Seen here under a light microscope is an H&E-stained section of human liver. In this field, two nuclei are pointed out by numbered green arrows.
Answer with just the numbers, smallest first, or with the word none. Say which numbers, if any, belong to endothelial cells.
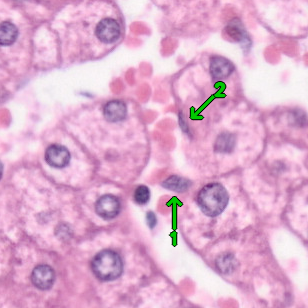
2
